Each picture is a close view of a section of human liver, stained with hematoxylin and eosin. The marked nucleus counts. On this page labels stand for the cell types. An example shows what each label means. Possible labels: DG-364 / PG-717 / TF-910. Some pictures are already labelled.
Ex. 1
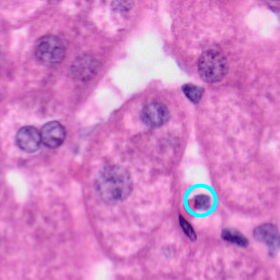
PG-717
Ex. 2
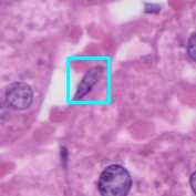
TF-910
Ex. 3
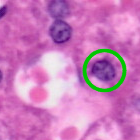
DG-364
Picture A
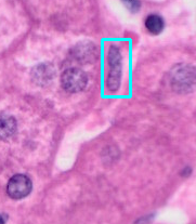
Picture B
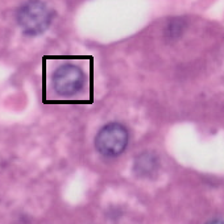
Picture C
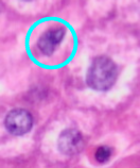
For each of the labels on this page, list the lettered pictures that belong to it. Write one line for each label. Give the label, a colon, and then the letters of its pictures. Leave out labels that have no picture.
DG-364: B
TF-910: A, C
